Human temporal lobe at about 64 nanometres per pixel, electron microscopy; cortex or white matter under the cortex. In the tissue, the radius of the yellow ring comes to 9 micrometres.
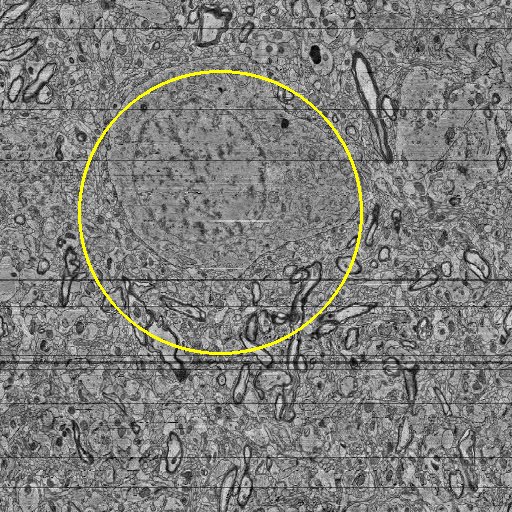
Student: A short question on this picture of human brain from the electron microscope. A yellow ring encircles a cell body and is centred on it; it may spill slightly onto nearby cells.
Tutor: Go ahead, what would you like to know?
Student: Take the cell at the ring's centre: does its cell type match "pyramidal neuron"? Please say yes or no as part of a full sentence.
No, the cell found at the ring's centre in the picture has another cell type.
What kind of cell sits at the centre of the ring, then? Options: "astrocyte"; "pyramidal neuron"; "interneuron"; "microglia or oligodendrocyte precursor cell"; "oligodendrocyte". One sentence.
That cell in the ring is an interneuron instead.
